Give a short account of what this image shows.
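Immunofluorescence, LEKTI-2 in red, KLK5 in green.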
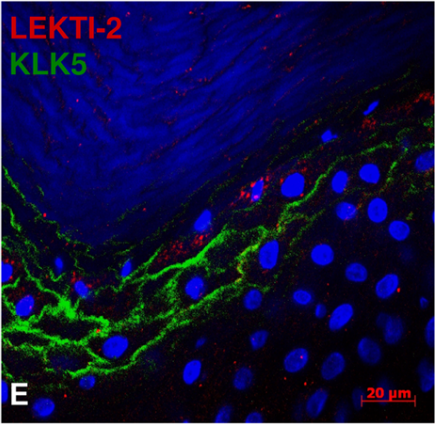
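This is epidermis of skin, with nucleated keratinocytes in the lower part and a thick, lamellated, nucleus-free stratum corneum above. In the uppermost nucleated layer, the stratum granulosum, green lines trace the borders between flattened cells, while red dots cluster as granules within the cells there.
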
